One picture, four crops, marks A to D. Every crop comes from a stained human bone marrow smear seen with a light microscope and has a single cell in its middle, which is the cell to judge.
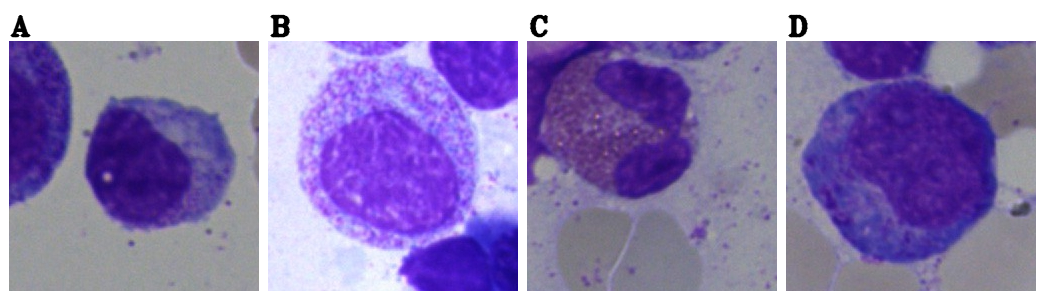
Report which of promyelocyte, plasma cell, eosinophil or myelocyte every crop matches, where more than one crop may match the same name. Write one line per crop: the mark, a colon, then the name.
A: myelocyte
B: myelocyte
C: eosinophil
D: promyelocyte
